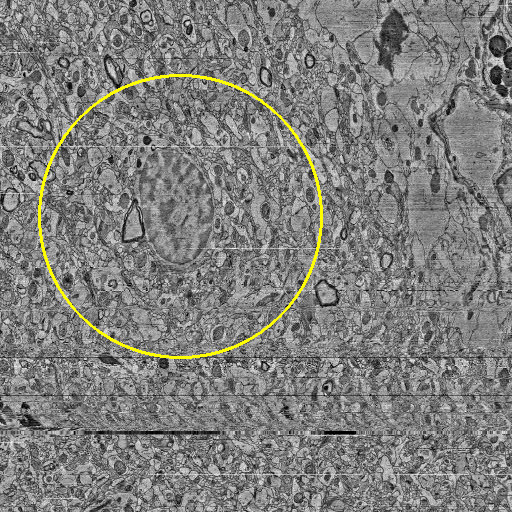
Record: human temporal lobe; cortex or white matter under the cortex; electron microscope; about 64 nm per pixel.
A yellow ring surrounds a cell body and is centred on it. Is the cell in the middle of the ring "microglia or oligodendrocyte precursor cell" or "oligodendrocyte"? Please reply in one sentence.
The ring is centred on an oligodendrocyte.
